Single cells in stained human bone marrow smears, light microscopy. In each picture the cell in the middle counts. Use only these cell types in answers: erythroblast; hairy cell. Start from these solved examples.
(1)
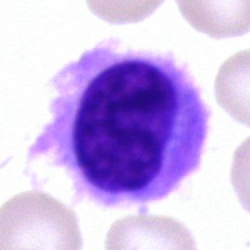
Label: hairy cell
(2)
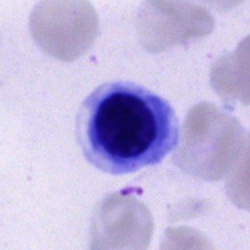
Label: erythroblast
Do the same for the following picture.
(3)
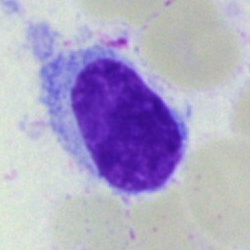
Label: hairy cell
